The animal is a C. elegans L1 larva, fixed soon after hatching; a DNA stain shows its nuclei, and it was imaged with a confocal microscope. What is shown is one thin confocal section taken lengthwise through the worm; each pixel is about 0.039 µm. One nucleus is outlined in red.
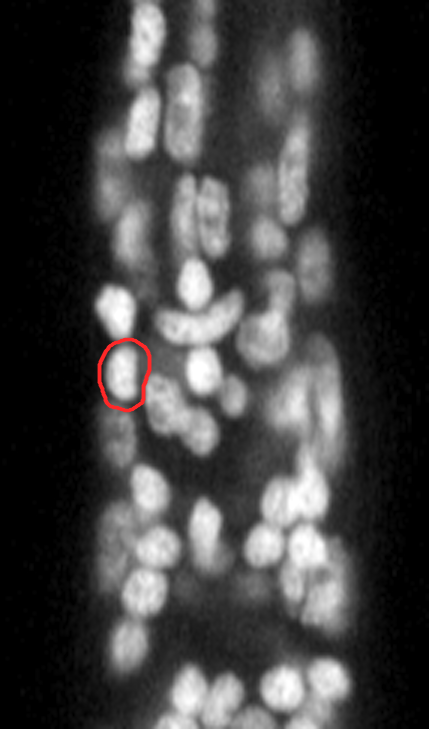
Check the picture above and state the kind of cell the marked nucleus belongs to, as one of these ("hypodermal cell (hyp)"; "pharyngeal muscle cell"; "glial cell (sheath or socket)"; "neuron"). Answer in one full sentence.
The marked cell is a neuron.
